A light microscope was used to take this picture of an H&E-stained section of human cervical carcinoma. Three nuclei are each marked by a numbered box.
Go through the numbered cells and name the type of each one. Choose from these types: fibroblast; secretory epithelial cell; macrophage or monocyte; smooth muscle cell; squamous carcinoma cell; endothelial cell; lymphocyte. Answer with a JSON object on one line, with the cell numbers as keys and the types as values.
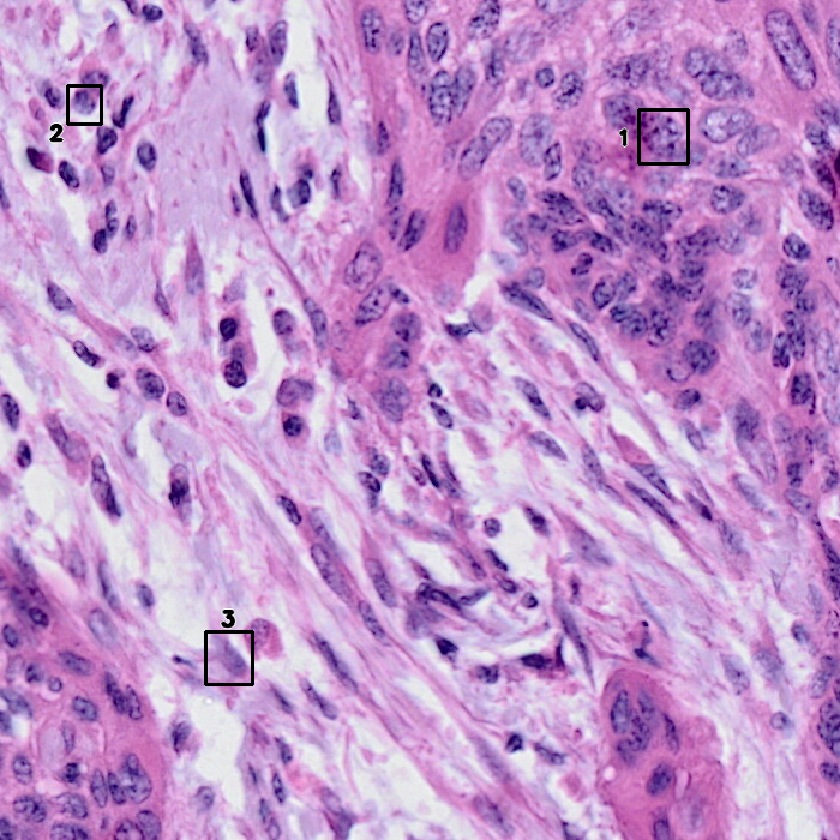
{"1": "squamous carcinoma cell", "2": "lymphocyte", "3": "fibroblast"}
